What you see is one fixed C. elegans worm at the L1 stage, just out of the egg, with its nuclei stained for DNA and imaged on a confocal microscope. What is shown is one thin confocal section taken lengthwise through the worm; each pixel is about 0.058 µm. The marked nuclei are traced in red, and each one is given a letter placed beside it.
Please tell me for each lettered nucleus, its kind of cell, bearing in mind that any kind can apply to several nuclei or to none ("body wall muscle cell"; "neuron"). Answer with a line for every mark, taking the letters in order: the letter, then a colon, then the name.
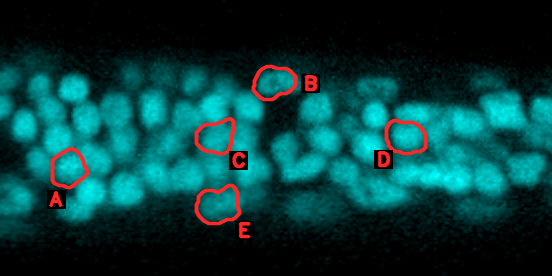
A: neuron
B: body wall muscle cell
C: neuron
D: neuron
E: body wall muscle cell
